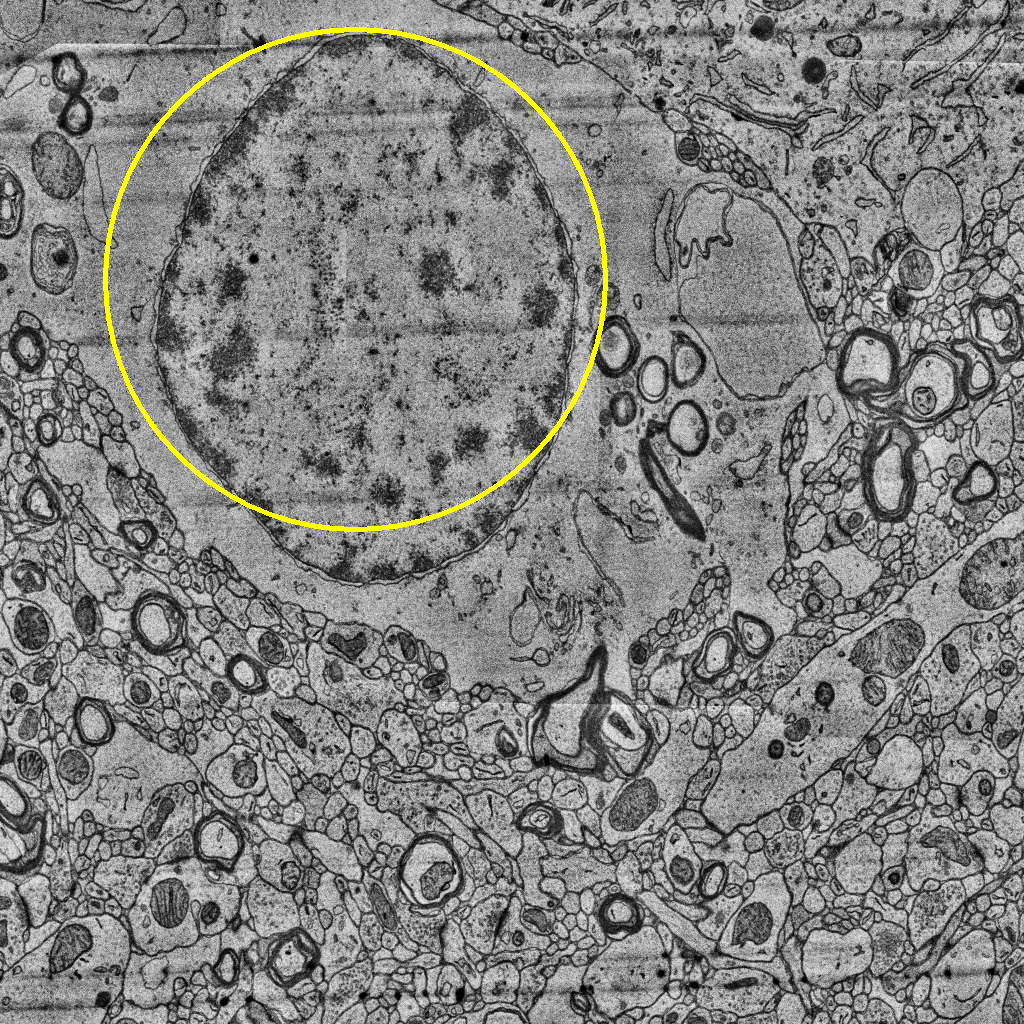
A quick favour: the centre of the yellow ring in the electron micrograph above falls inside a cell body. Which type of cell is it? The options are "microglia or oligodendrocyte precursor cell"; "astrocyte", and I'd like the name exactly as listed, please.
astrocyte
